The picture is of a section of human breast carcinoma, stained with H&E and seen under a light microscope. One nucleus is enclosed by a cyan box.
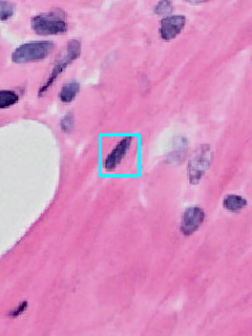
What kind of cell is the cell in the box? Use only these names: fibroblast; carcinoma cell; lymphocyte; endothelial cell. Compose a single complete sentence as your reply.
In this section of tissue, the cell in the box is a lymphocyte.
